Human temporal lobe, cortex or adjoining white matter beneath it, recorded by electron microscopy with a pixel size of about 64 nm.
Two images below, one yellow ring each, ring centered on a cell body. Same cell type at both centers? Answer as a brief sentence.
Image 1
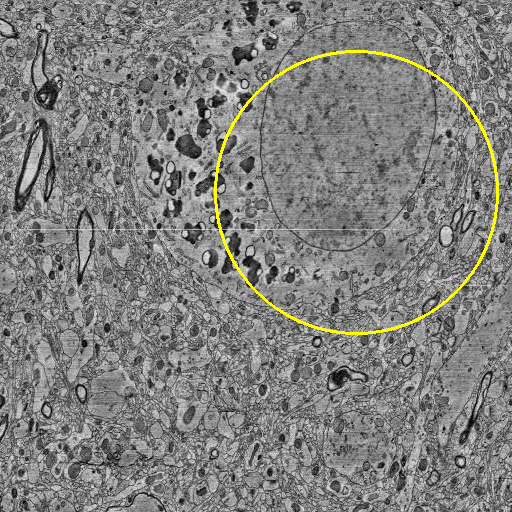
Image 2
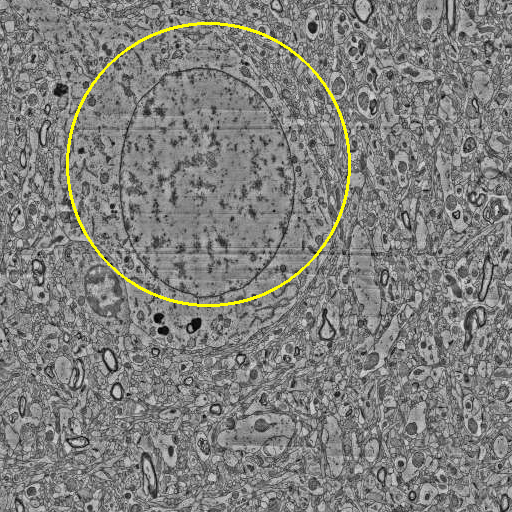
Yes, both cells are of the same type.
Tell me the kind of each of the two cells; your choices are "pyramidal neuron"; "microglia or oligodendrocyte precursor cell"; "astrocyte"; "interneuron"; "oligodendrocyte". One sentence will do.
In the first picture and in the second, the ring is centred on a pyramidal neuron.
